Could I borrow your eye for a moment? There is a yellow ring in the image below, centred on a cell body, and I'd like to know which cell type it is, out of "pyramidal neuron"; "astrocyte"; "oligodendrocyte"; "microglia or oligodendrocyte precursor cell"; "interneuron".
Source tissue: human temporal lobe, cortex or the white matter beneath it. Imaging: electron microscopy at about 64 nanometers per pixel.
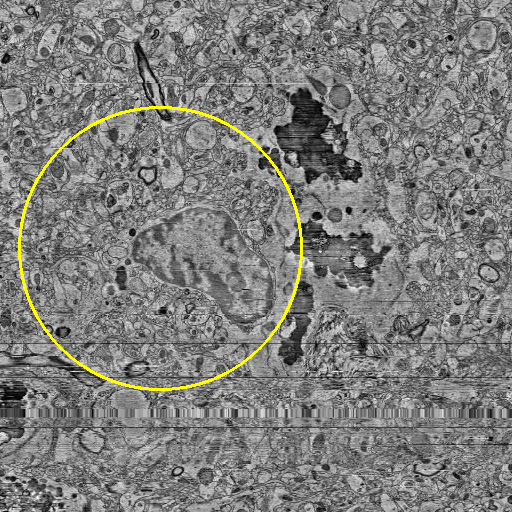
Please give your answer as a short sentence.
The cell body at the centre is that of a microglial cell or oligodendrocyte precursor cell.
